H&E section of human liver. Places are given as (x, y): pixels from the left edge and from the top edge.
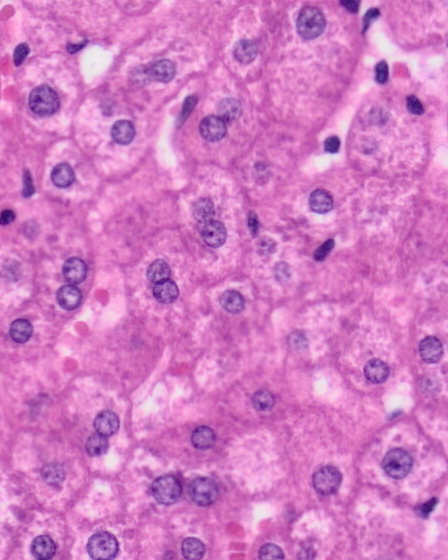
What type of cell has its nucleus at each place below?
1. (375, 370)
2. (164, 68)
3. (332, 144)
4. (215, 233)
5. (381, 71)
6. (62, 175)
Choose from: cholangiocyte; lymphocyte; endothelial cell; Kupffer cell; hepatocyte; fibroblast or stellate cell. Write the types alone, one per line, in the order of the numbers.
hepatocyte
hepatocyte
lymphocyte
hepatocyte
lymphocyte
hepatocyte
